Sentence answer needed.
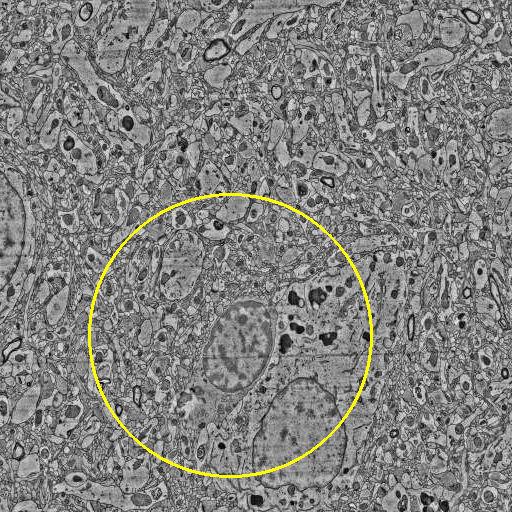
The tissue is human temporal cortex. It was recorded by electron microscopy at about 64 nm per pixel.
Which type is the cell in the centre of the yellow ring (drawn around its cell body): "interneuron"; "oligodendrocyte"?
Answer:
In the centre of the yellow ring is an oligodendrocyte.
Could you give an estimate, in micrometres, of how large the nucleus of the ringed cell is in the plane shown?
About 6 by 4 micrometers, in this plane.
